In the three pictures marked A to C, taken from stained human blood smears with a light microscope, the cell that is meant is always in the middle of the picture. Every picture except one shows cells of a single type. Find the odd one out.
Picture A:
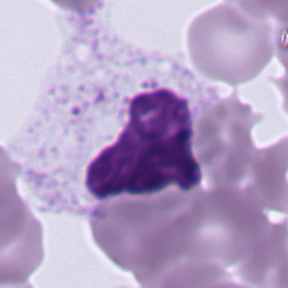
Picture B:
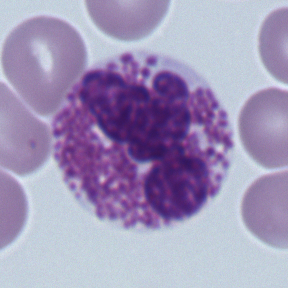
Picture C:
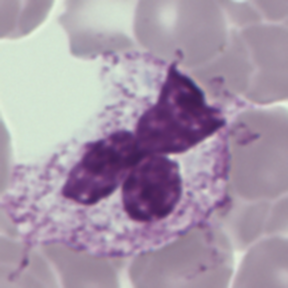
B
